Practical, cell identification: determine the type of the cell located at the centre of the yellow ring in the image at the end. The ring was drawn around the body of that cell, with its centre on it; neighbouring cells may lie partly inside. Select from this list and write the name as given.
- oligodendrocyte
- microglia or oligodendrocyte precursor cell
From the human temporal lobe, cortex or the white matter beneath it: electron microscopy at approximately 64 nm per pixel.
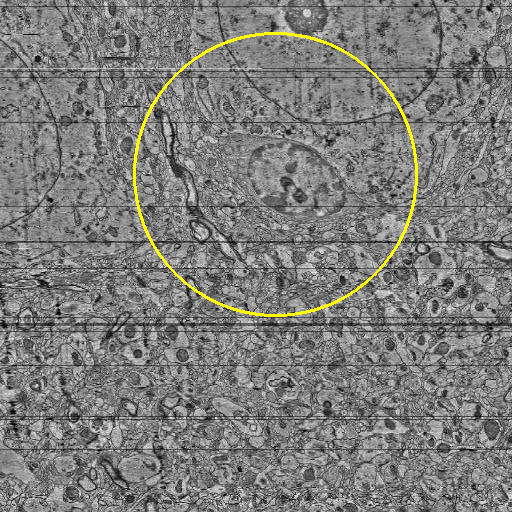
oligodendrocyte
